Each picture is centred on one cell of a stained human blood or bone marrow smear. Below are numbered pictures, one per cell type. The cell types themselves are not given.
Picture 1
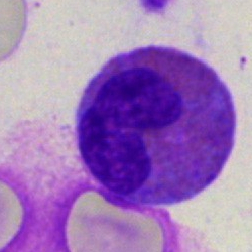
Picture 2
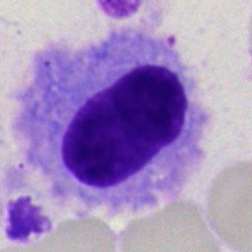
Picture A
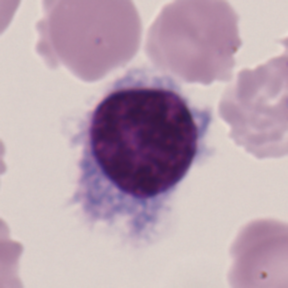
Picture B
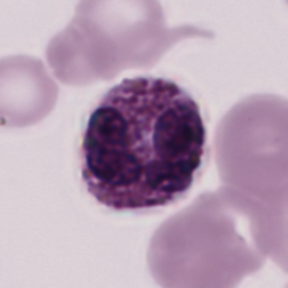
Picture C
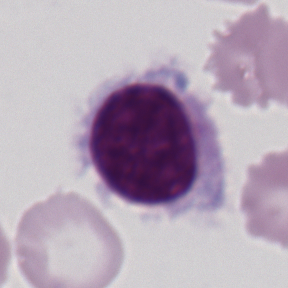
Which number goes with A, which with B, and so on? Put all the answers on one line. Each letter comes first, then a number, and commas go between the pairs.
A 2, B 1, C 2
